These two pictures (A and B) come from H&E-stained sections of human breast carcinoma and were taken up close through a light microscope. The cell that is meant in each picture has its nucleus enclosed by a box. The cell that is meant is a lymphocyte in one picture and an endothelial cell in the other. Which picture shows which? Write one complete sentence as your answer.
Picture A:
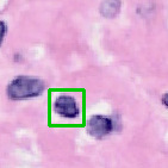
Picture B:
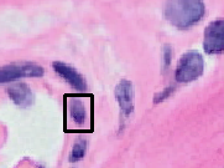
Picture A is of a lymphocyte, and picture B is of an endothelial cell.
